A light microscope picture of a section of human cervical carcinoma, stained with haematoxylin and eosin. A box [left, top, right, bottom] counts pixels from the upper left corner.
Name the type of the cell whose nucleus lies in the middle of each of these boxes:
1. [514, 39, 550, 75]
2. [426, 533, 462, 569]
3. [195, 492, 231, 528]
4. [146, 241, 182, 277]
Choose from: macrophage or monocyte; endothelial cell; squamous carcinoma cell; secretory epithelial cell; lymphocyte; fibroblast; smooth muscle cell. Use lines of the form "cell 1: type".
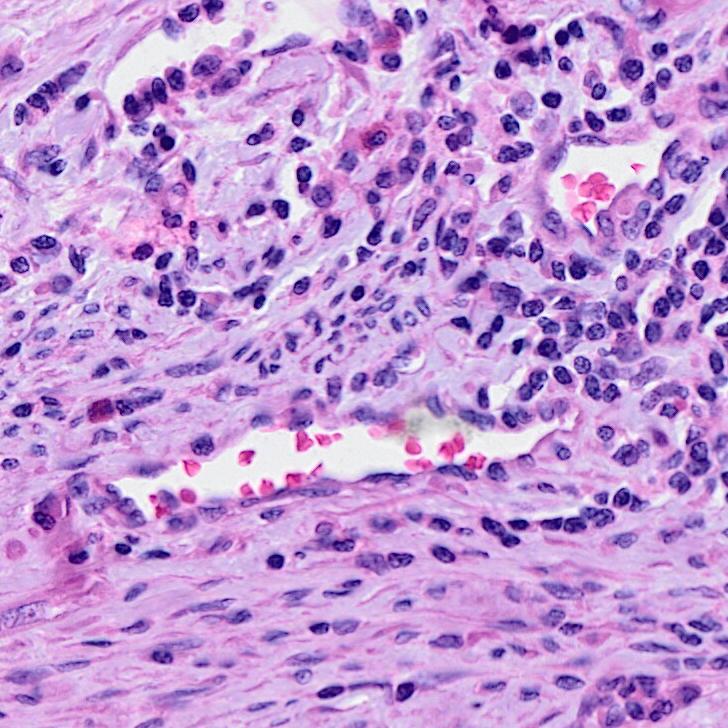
cell 1: lymphocyte
cell 2: lymphocyte
cell 3: endothelial cell
cell 4: lymphocyte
